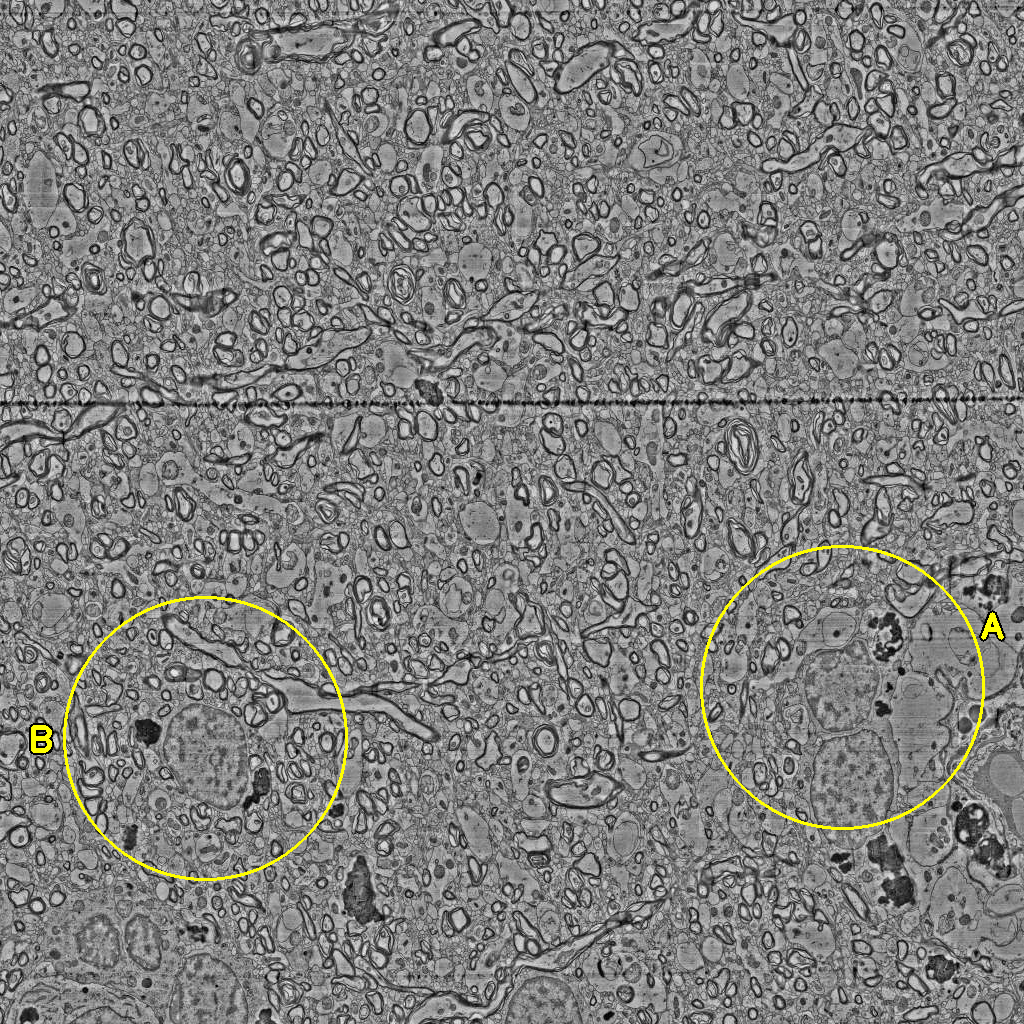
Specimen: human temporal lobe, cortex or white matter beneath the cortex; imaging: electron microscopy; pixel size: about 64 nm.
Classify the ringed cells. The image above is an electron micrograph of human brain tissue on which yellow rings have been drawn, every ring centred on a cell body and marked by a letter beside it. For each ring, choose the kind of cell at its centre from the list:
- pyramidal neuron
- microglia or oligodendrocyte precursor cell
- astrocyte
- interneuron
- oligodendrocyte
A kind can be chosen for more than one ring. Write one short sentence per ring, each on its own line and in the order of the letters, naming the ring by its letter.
Ring A is placed around an oligodendrocyte.
Ring B is placed around an oligodendrocyte.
